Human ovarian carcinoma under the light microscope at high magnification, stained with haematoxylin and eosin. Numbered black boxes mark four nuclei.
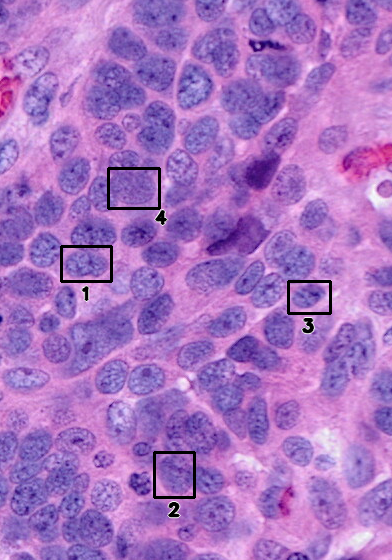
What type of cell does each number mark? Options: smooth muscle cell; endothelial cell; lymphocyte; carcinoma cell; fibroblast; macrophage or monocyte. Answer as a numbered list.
1. carcinoma cell
2. carcinoma cell
3. macrophage or monocyte
4. carcinoma cell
